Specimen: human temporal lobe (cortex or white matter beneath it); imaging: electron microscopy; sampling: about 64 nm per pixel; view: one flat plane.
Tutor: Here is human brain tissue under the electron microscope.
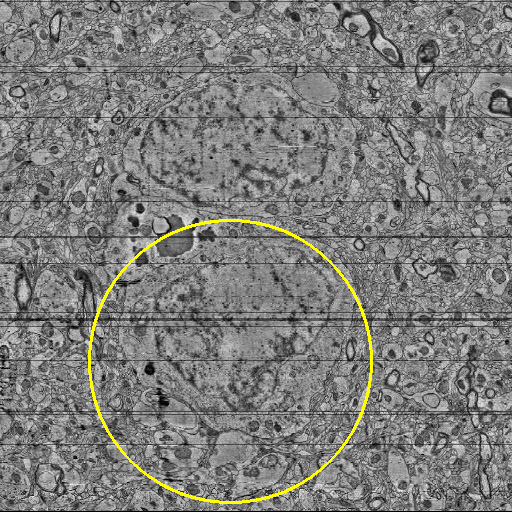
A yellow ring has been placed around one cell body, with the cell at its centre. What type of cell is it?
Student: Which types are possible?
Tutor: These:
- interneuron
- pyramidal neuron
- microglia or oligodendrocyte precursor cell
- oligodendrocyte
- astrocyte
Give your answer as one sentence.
What the ring picks out here is an interneuron.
